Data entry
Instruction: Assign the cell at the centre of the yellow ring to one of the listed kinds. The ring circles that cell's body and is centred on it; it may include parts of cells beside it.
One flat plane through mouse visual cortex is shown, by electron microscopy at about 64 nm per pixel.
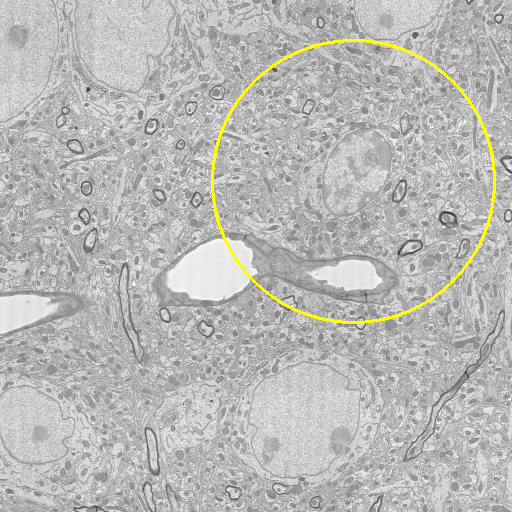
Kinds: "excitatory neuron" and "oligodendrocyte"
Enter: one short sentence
The centre of the ring falls on an oligodendrocyte.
